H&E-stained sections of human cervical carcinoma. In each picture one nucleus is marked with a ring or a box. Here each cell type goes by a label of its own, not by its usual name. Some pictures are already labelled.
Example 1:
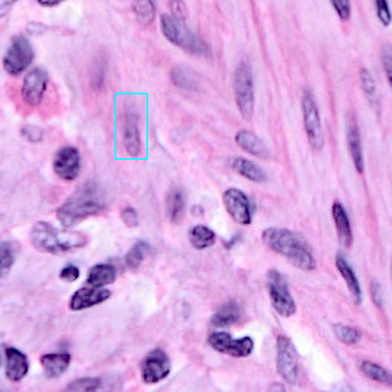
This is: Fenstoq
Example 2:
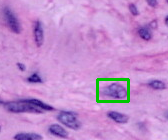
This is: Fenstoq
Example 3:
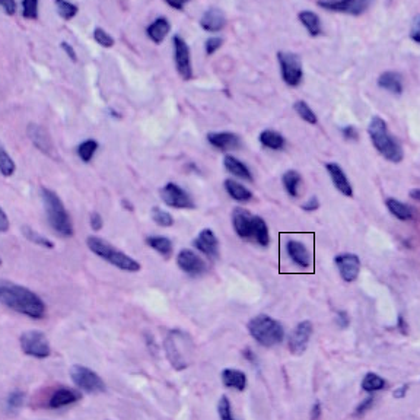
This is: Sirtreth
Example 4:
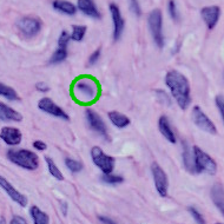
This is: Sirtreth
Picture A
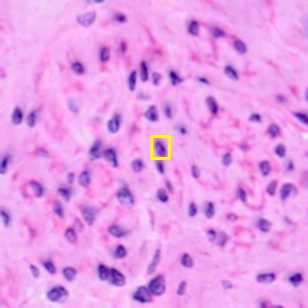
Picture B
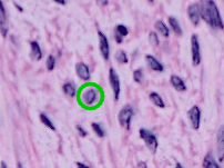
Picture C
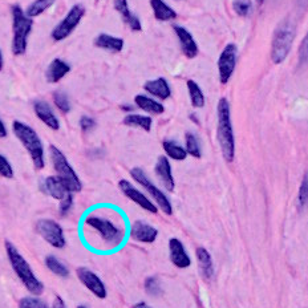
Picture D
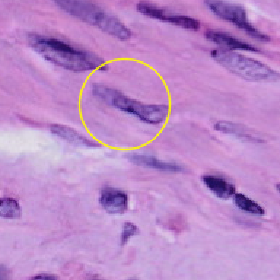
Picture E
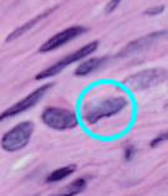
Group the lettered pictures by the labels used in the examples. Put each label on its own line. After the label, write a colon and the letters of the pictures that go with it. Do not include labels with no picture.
Fenstoq: A, B
Sirtreth: C, D, E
